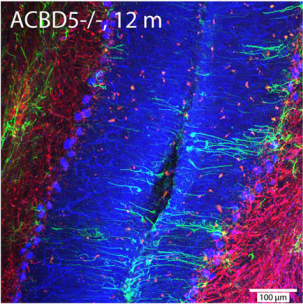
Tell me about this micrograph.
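This is cerebellar cortex of two folia facing each other across a dark cleft in the middle. On each side a row of large blue Purkinje cell bodies sends blue dendrites into the wide molecular layer that fills the centre. Thin green astroglial fibres run radially through the molecular layer toward the cleft. The two halves mirror each other, giving a layered, symmetrical pattern.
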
